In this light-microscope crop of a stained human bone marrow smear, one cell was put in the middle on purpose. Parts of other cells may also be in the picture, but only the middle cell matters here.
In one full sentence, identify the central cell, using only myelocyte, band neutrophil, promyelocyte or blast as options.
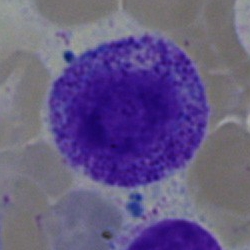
The middle cell in this particular crop is a myelocyte.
